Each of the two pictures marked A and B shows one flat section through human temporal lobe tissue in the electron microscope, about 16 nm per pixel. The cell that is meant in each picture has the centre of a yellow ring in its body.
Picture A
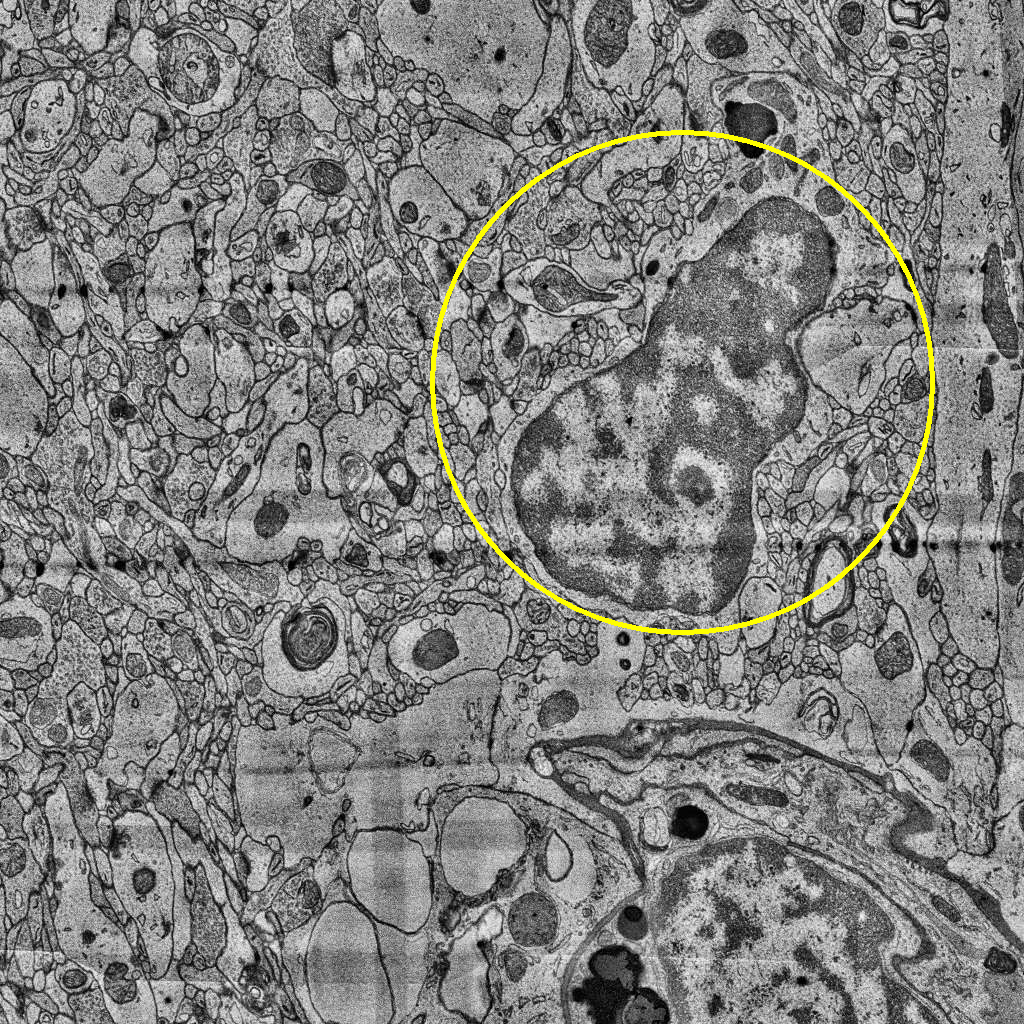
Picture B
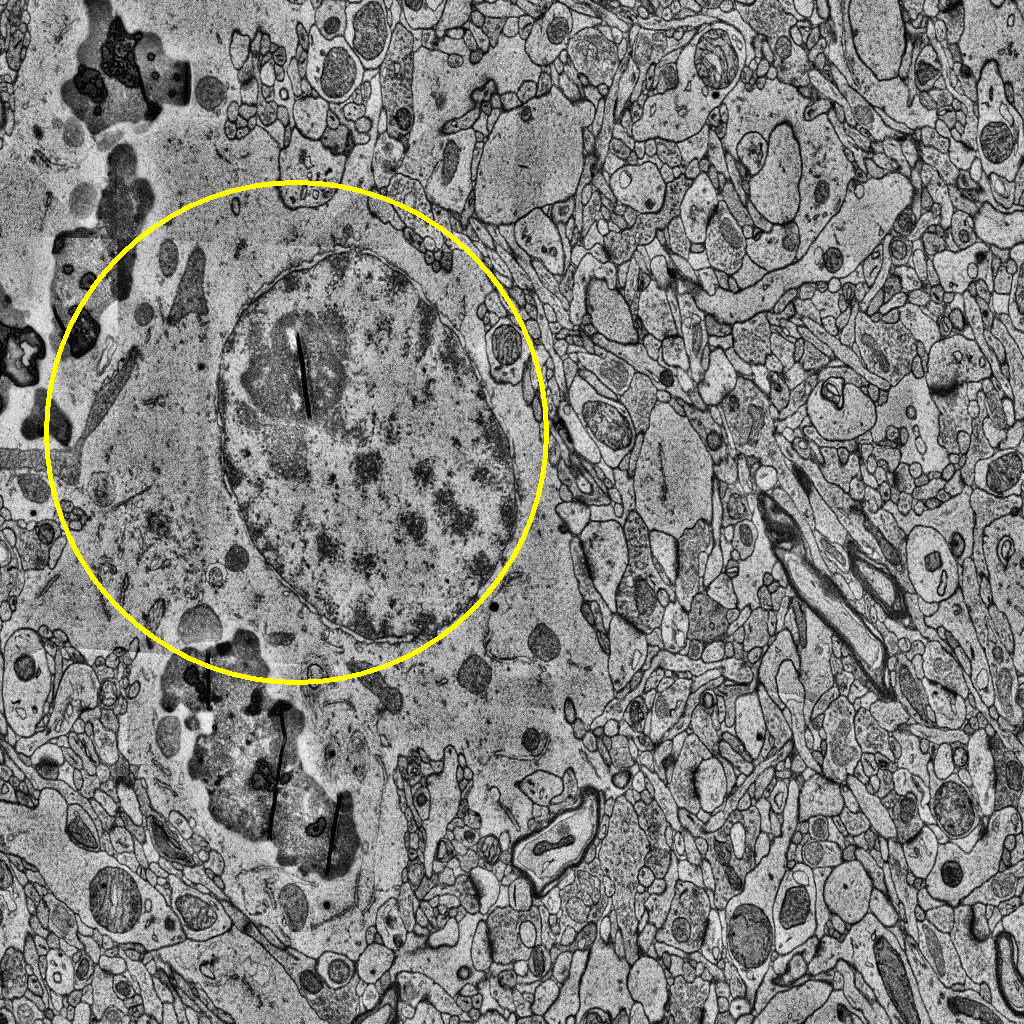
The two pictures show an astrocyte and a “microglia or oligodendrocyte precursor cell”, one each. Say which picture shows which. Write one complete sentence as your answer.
Picture A is of a “microglia or oligodendrocyte precursor cell”, and picture B is of an astrocyte.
